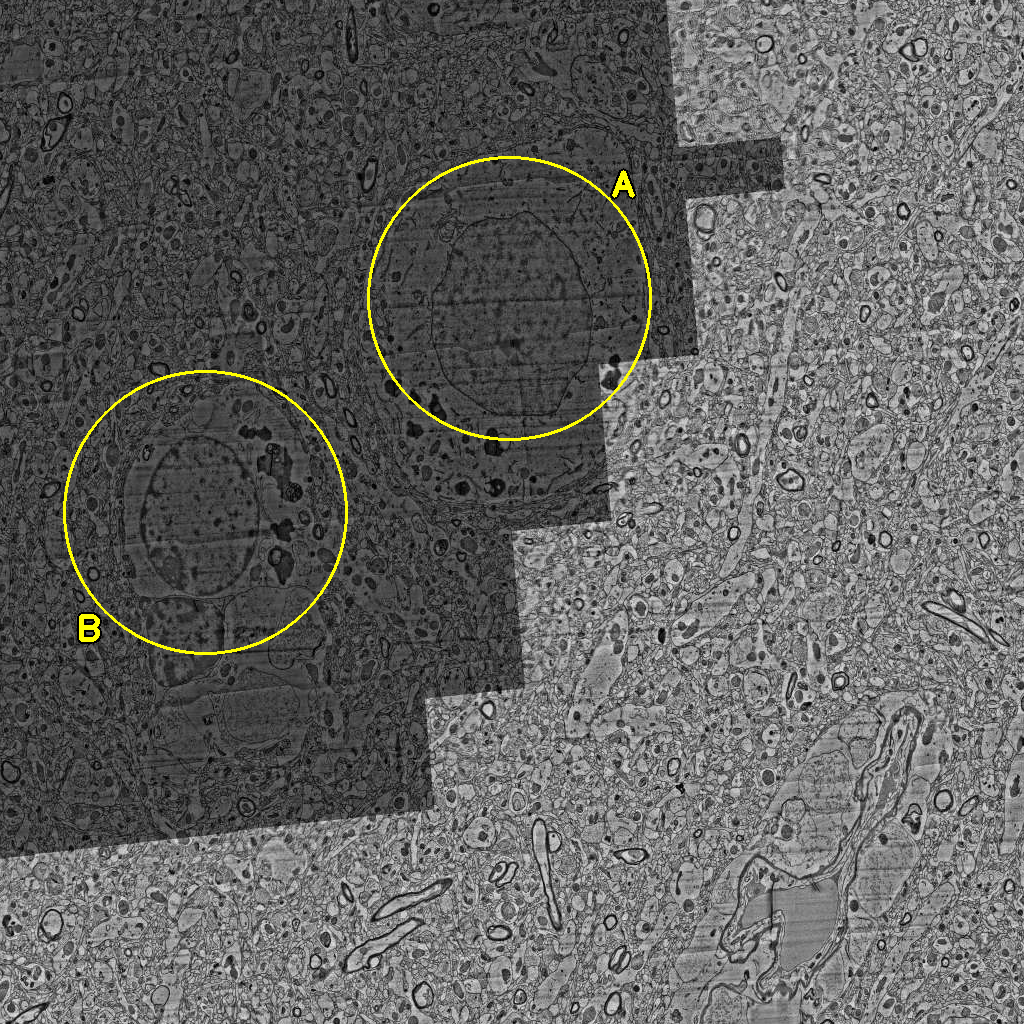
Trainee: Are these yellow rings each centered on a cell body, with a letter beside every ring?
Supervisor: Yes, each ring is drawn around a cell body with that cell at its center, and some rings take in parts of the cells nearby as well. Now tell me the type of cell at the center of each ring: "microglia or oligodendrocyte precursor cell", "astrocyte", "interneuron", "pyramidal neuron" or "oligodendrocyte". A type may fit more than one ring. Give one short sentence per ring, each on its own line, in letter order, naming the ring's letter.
Ring A has a pyramidal neuron at its center.
Ring B has an astrocyte at its center.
